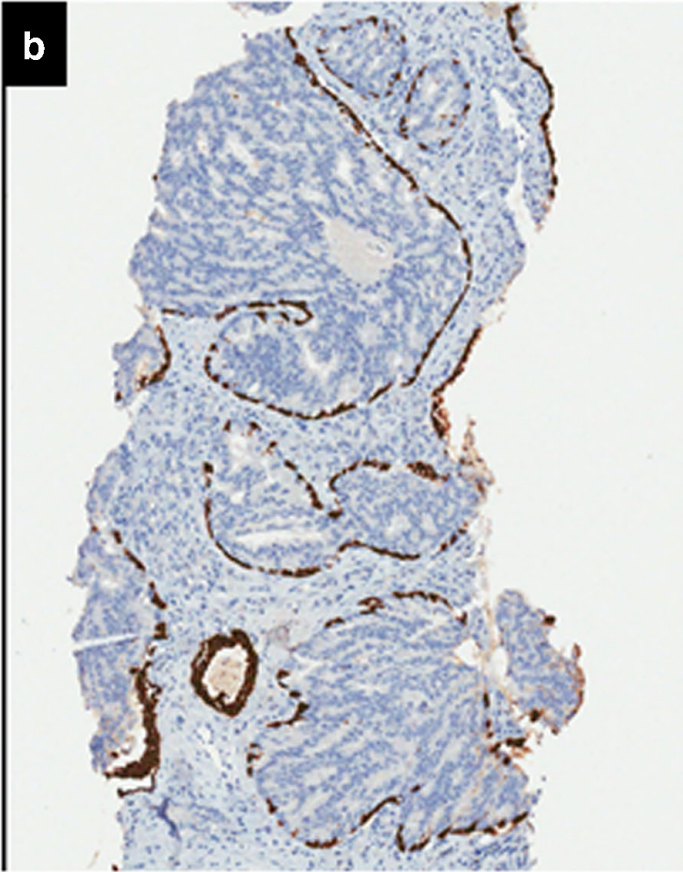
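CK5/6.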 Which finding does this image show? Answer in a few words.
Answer: Intraductal carcinoma of the prostate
